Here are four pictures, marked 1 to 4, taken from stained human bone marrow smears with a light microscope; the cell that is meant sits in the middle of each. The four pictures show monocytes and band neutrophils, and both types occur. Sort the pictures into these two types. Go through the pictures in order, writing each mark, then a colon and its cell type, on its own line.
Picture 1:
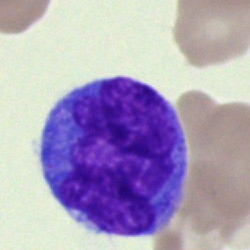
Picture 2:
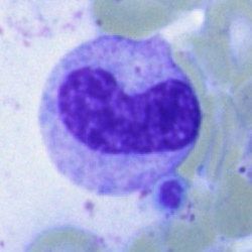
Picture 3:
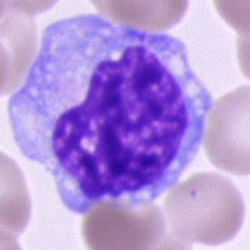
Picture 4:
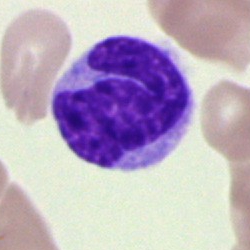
1: monocyte
2: band neutrophil
3: monocyte
4: monocyte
